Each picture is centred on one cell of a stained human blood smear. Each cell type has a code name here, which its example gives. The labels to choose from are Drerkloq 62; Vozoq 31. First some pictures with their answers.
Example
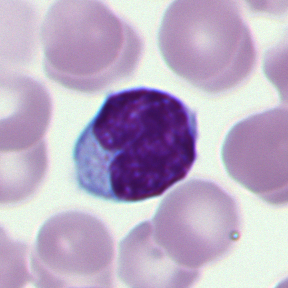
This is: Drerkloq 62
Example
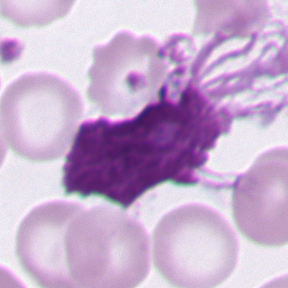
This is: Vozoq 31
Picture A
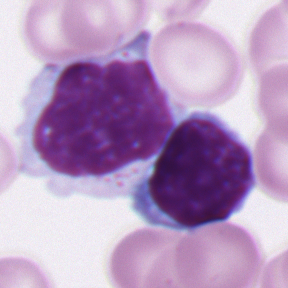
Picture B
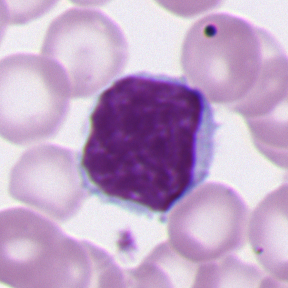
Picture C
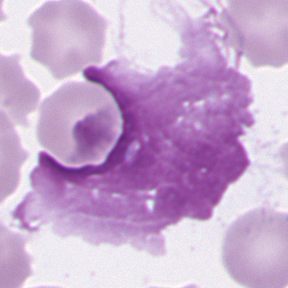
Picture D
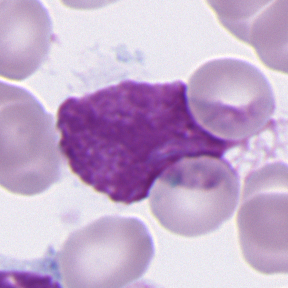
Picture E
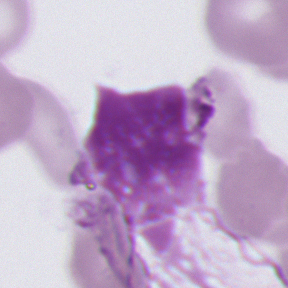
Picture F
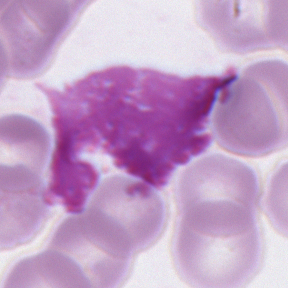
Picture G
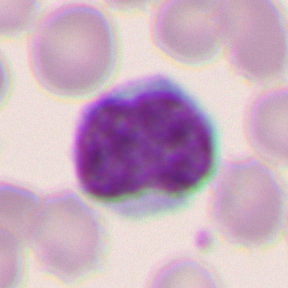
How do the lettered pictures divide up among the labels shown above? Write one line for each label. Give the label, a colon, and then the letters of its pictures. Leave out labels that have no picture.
Drerkloq 62: A, B, G
Vozoq 31: C, D, E, F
